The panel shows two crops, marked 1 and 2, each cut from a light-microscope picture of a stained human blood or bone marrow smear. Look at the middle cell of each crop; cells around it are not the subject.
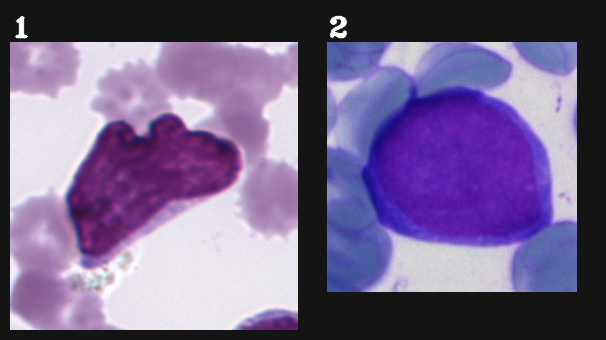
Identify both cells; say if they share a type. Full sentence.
Yes, the cells that both crops show at the centre are blasts.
